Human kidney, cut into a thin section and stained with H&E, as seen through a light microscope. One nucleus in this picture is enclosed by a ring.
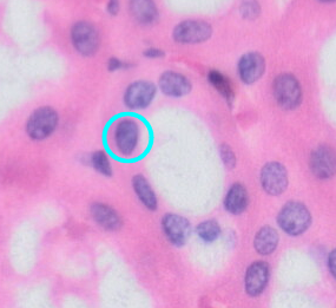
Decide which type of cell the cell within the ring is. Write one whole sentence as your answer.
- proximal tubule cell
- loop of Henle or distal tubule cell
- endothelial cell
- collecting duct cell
Microscopically, the cell within the ring is categorized as a collecting duct cell.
